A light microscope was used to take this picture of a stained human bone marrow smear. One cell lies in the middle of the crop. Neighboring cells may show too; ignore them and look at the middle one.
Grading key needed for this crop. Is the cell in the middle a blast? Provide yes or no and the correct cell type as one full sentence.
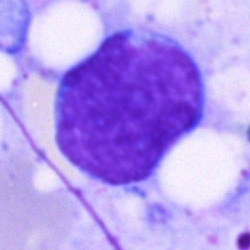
Yes, the cell that is in the middle is a blast.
